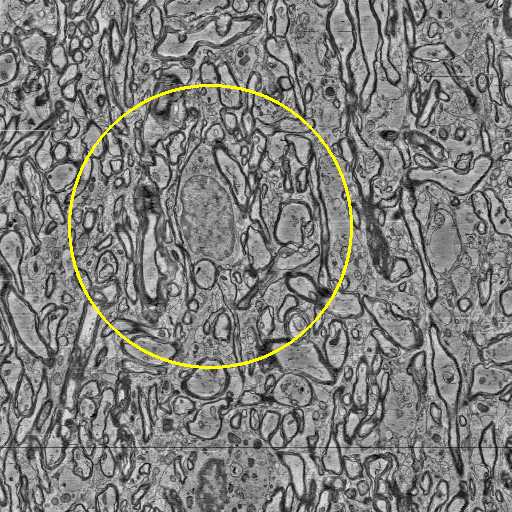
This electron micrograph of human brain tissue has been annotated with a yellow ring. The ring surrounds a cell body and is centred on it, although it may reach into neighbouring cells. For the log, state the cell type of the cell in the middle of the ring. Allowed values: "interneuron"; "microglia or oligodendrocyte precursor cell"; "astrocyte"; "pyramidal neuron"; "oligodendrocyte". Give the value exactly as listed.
oligodendrocyte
